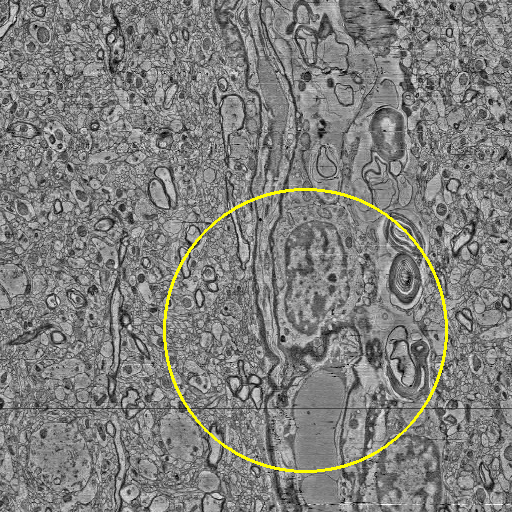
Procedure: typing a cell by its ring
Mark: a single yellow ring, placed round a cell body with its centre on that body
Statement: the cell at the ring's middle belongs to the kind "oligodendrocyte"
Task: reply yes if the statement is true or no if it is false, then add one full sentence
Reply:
Yes, this is true: the cell at the ring's centre in the picture belongs to that kind.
